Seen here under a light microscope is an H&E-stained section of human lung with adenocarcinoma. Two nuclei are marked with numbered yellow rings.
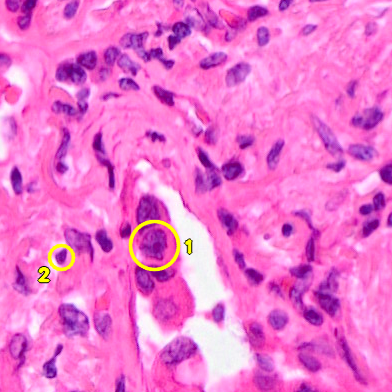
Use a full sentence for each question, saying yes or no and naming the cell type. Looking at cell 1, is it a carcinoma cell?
Yes, the cell numbered 1 in this tissue is a carcinoma cell.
